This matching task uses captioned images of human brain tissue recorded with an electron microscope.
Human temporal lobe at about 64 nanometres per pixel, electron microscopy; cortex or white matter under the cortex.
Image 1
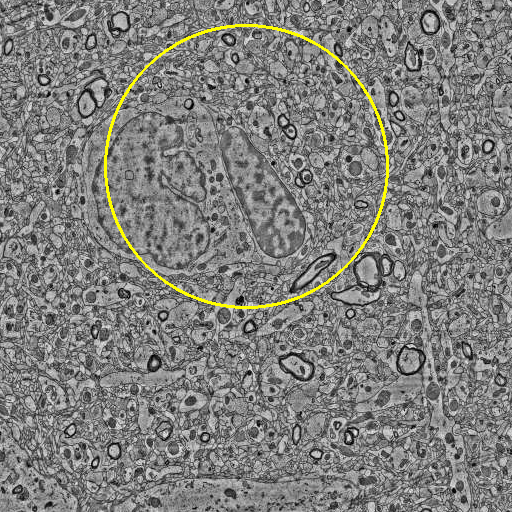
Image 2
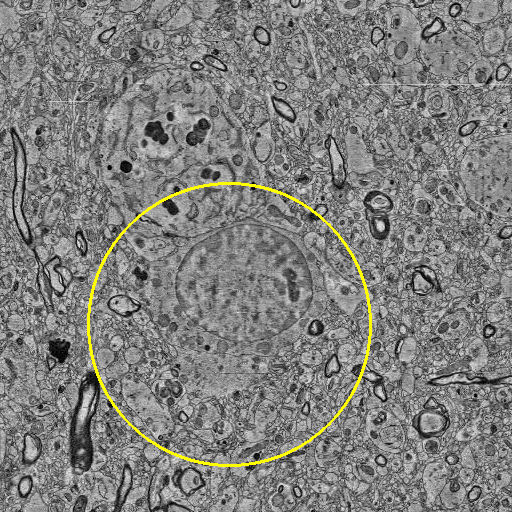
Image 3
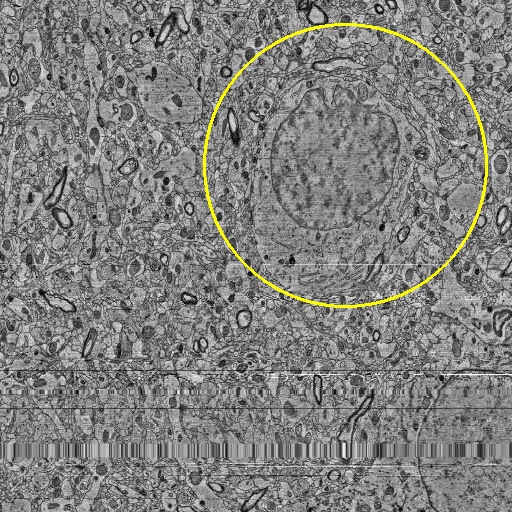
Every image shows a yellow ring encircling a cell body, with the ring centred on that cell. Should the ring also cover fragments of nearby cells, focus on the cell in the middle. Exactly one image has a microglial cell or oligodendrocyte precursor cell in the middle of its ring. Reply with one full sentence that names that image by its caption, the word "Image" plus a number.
Image 1 shows the cell in question at the centre of its yellow ring.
